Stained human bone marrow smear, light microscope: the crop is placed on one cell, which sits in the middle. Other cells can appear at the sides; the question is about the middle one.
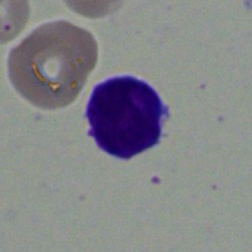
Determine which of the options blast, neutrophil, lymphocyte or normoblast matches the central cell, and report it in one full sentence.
Classified as a lymphocyte is the cell in the middle of this crop.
